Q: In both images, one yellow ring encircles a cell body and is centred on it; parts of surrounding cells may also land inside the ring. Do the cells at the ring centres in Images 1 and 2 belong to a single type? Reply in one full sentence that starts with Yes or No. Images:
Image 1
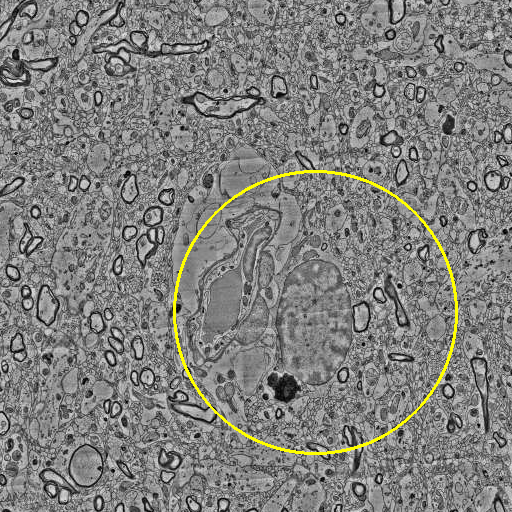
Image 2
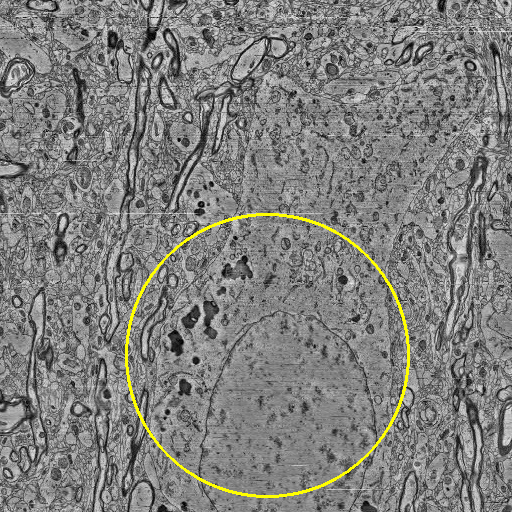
No, the cells at the ring centres in Images 1 and 2 are of two types.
